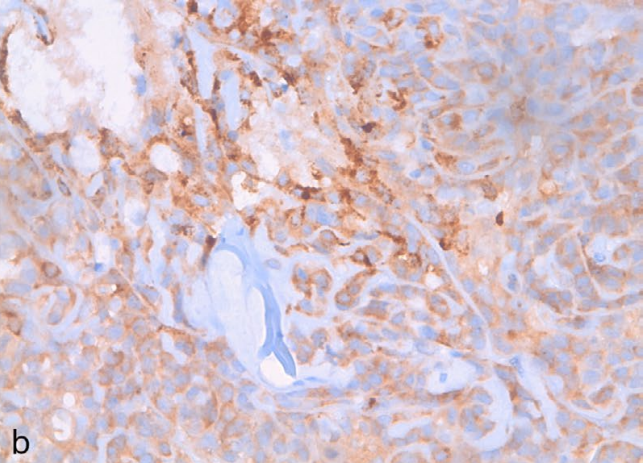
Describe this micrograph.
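The cells have oval blue nuclei and a moderate amount of cytoplasm that is diffusely stained brown, with darker brown granular deposits in places and accentuation along the cell borders. A small band of pale blue, lightly stained matrix runs through the field between groups of cells. A few small spaces and clefts are seen among the cells.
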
